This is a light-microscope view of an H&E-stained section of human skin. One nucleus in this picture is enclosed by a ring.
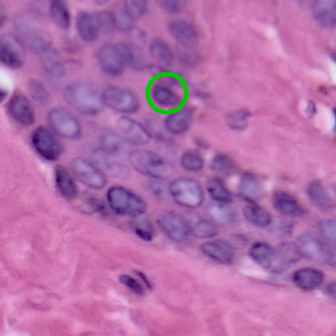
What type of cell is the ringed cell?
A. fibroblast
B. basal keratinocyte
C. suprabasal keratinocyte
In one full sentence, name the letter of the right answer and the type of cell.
Exactly as option B gives it, the ringed cell is a basal keratinocyte.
